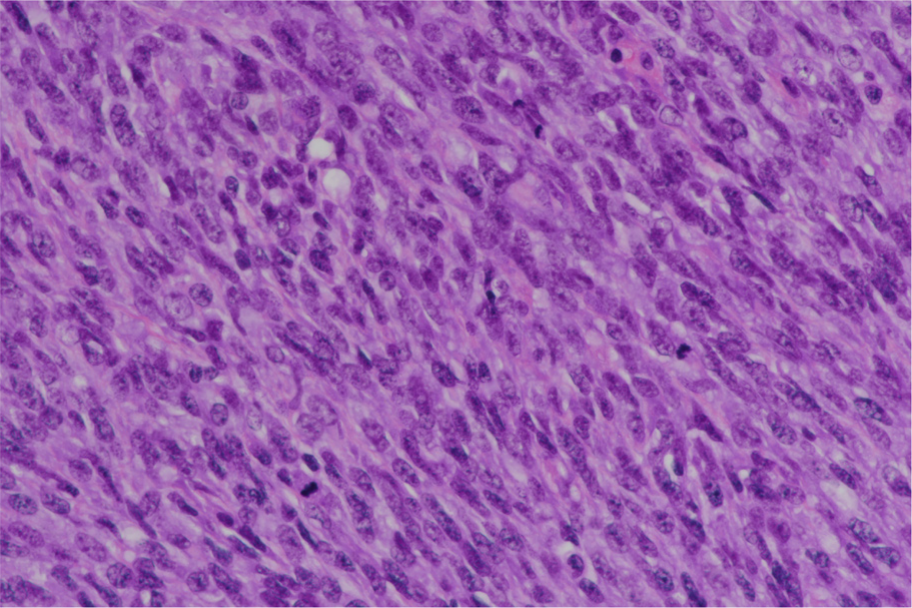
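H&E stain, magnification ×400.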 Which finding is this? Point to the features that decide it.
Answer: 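Nuclei are large and elongated. Nuclei vary in size and shape. Many nuclei stain dark purple. So: enlarged, elongated, pleomorphic and hyperchromatic nuclei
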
